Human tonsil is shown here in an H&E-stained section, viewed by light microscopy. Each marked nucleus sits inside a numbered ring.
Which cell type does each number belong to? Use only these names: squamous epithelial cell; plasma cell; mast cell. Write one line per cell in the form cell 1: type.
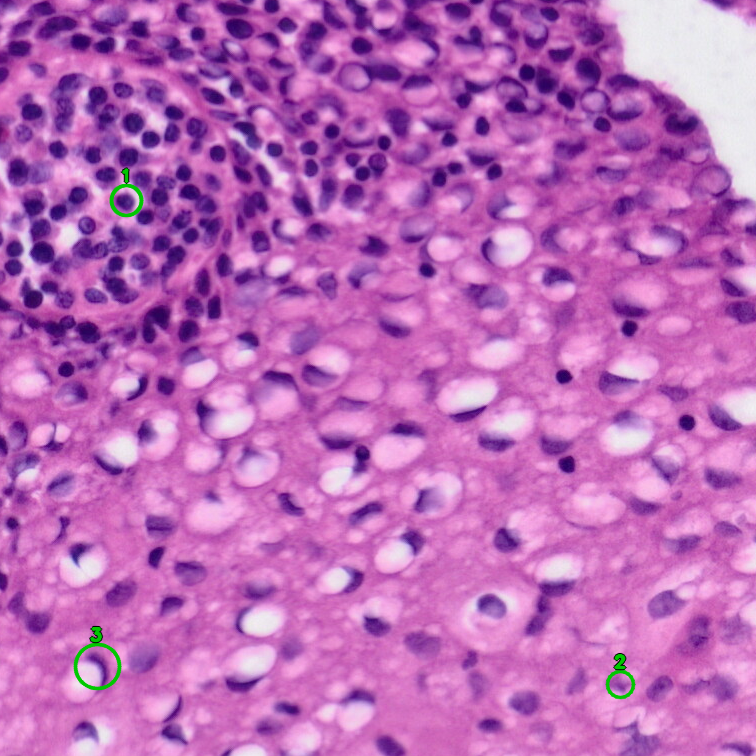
cell 1: plasma cell
cell 2: squamous epithelial cell
cell 3: squamous epithelial cell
